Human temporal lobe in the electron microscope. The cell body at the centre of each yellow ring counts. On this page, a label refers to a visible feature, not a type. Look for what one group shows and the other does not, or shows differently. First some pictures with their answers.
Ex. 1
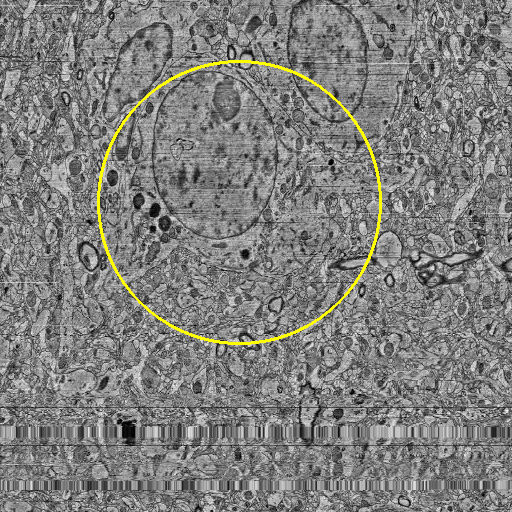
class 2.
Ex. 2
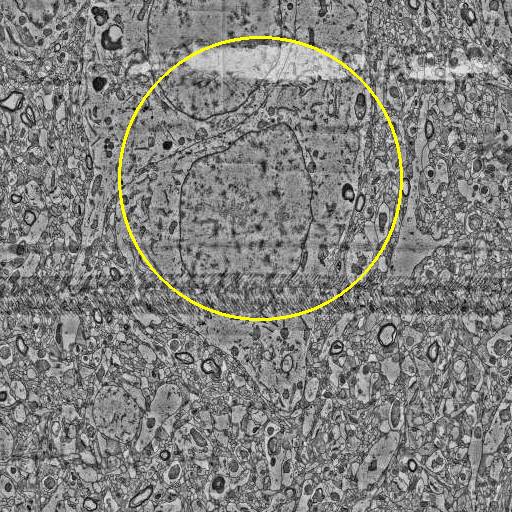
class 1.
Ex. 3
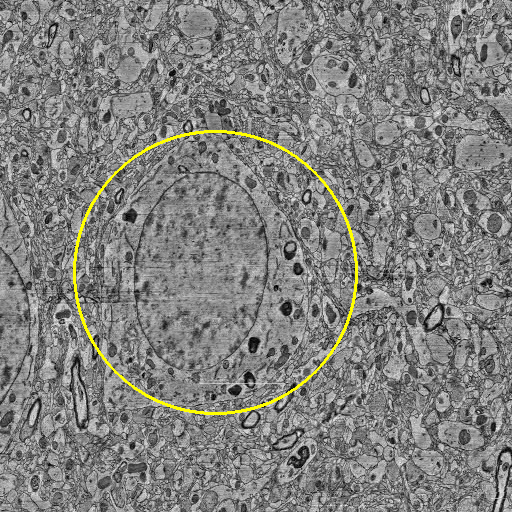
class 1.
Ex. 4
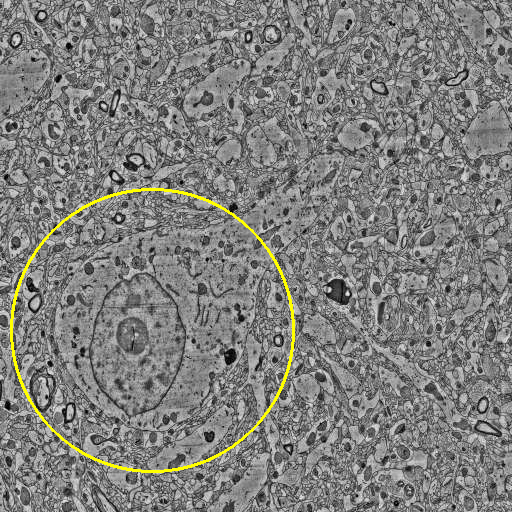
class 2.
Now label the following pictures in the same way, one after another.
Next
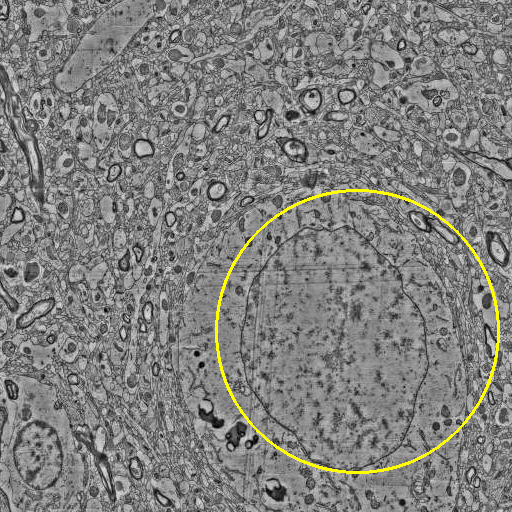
class 1.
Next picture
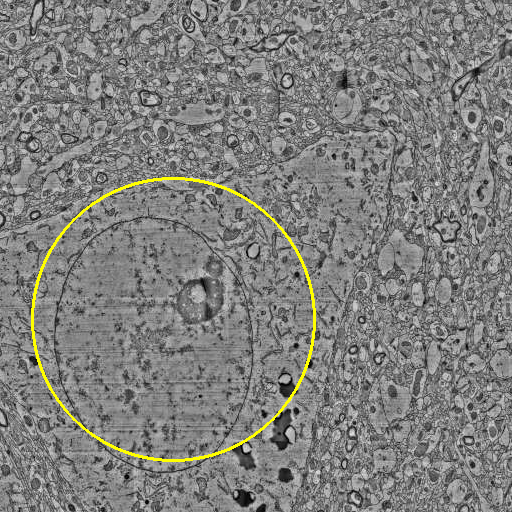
class 2.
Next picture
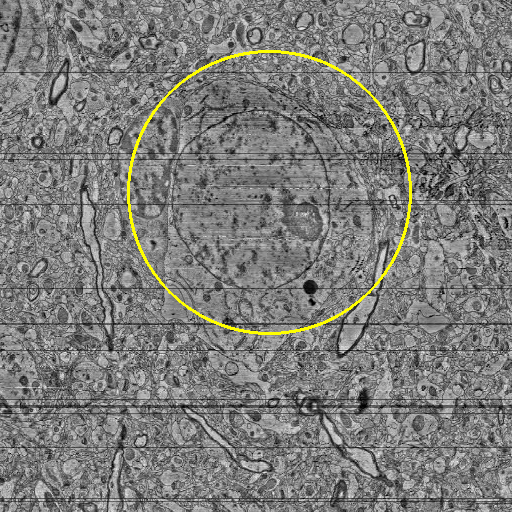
class 2.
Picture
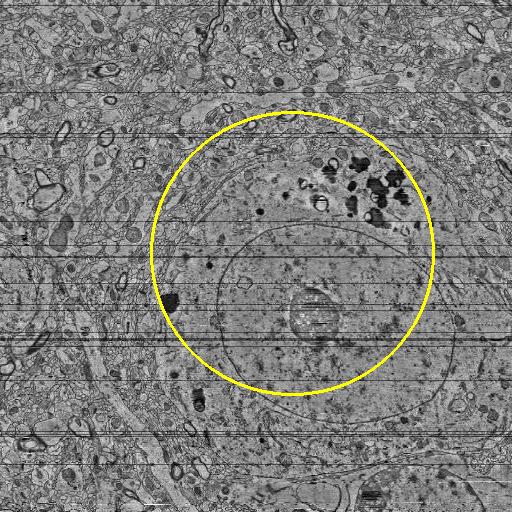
class 2.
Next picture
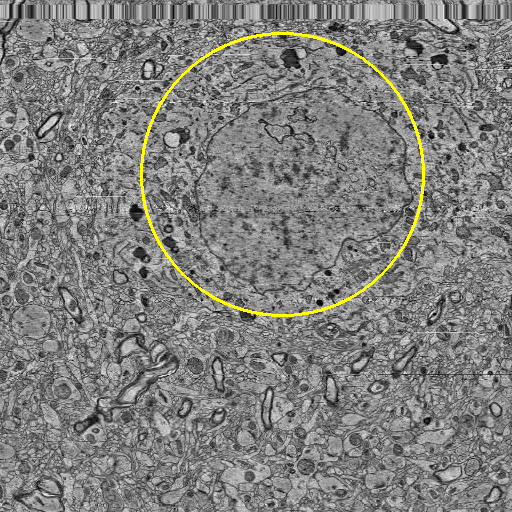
class 1.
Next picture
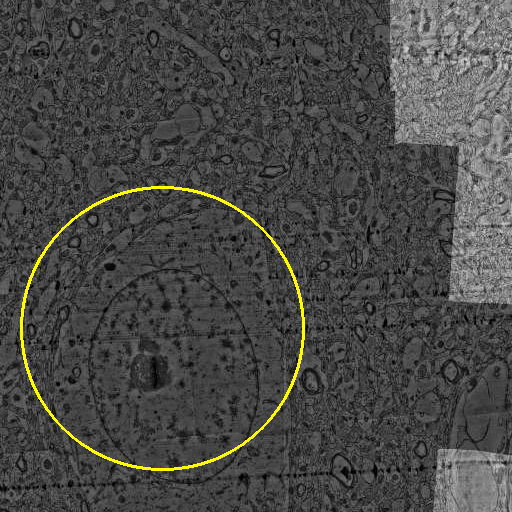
class 2.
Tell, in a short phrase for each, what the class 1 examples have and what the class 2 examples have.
In class 1: no nucleolus seen. In class 2: nucleolus seen.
